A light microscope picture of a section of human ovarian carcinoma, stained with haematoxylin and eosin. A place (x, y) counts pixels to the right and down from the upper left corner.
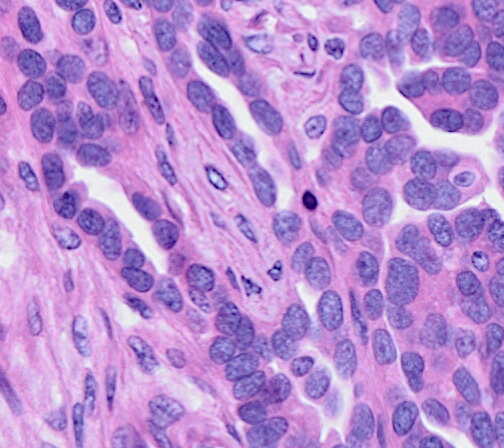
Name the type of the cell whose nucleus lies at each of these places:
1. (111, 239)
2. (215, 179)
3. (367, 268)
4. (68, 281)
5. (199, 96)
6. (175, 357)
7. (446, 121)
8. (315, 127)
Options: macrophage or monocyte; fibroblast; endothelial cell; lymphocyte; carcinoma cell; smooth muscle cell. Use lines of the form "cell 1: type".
cell 1: carcinoma cell
cell 2: fibroblast
cell 3: carcinoma cell
cell 4: fibroblast
cell 5: carcinoma cell
cell 6: fibroblast
cell 7: carcinoma cell
cell 8: macrophage or monocyte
